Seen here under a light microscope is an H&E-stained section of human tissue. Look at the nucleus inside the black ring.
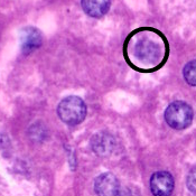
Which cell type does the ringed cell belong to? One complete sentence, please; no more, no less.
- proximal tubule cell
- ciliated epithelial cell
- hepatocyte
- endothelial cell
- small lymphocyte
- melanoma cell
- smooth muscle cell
In short, the ringed cell on this section is a hepatocyte.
